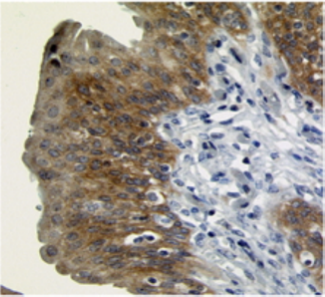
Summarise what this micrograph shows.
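This is a benign urothelium, a multilayered epithelium of rounded to polygonal cells with round blue nuclei, lying against a loose connective tissue stroma on the right. The stroma beside it is unstained, showing only scattered blue nuclei of spindle-shaped cells among pale fibres.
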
